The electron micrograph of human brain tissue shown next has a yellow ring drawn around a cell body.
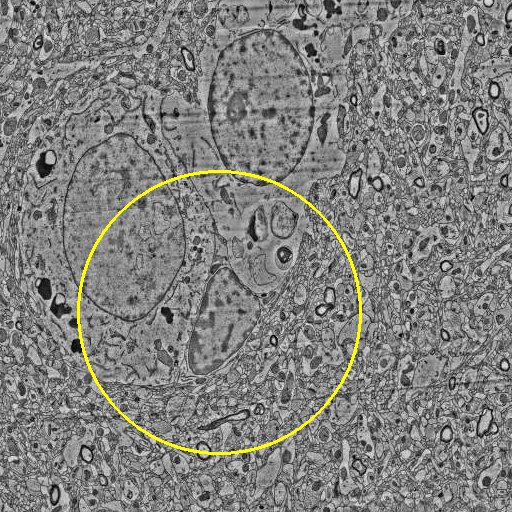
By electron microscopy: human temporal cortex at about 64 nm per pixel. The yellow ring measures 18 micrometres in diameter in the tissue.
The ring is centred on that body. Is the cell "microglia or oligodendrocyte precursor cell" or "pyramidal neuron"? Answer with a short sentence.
The cell in question is a microglial cell or oligodendrocyte precursor cell.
